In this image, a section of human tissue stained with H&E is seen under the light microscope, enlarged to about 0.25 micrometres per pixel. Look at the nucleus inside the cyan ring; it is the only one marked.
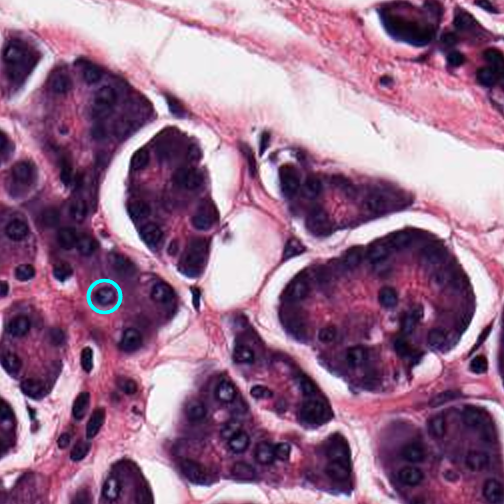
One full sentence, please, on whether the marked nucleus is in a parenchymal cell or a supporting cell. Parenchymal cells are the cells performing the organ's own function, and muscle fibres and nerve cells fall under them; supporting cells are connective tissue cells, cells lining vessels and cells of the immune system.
The nucleus marked here belongs to a parenchymal cell, namely a pancreatic acinar cell.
